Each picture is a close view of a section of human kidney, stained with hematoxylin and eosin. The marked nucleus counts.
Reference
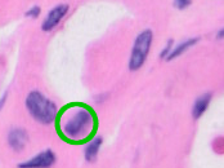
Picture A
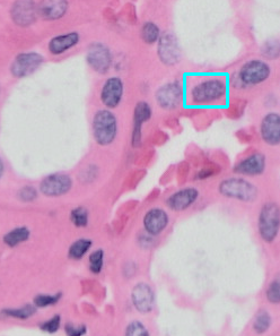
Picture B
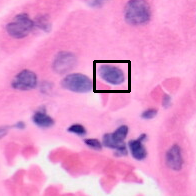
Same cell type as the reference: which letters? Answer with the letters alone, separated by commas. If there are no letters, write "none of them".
A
